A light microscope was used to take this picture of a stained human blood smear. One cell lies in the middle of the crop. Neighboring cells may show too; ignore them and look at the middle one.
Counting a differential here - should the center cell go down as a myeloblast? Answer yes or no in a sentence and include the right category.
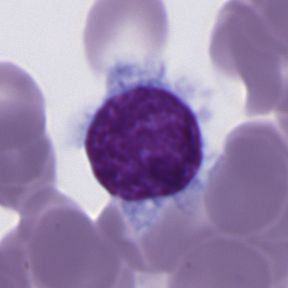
No, the cell sitting in the centre of the crop is a hairy cell, not a myeloblast.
